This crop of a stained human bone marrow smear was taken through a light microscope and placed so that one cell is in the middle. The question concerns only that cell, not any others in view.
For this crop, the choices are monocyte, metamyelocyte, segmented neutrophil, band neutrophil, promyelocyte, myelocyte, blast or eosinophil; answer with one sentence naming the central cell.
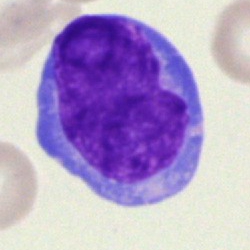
In this smear crop, the middle cell is a blast.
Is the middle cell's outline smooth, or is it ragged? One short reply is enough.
The membrane contour is even and smooth, with nothing projecting from it.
